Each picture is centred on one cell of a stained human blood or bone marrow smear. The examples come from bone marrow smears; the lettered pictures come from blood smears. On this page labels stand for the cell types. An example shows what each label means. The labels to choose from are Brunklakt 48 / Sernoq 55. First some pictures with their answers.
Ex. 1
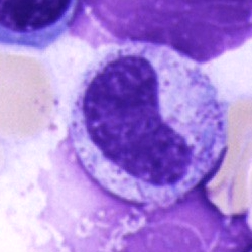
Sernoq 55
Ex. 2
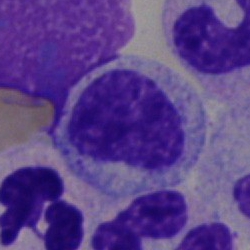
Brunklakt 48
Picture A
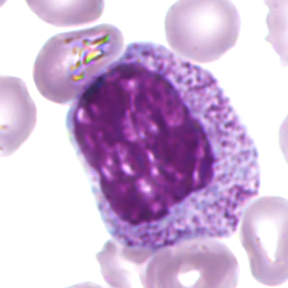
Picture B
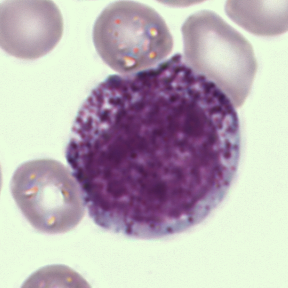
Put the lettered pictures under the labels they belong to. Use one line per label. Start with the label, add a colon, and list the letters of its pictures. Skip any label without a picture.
Brunklakt 48: A, B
